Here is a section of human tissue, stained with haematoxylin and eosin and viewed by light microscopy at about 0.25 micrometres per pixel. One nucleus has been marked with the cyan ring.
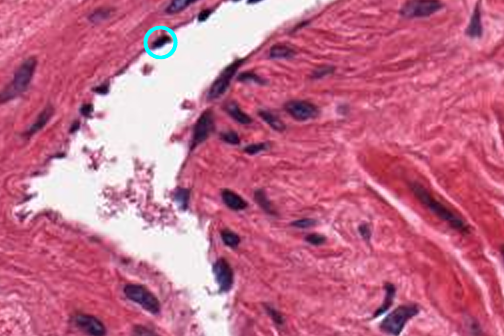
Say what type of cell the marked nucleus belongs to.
endothelial cell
